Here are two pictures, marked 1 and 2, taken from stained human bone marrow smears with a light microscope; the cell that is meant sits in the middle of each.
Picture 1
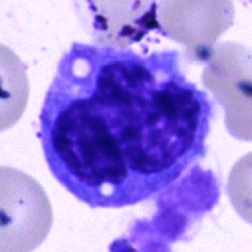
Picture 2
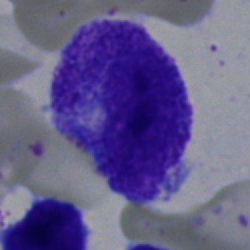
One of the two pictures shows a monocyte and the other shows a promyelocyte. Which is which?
1: monocyte
2: promyelocyte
